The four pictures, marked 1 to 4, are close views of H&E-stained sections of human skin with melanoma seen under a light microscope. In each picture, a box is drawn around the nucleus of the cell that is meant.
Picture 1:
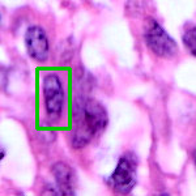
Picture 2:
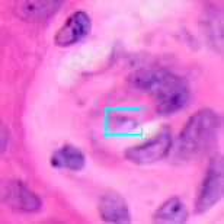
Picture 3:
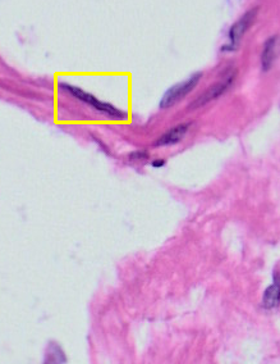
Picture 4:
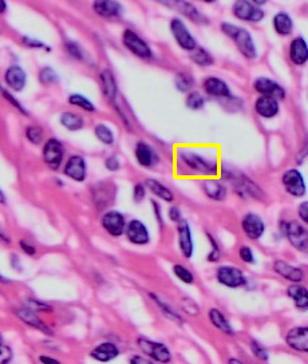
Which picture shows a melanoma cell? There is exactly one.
1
